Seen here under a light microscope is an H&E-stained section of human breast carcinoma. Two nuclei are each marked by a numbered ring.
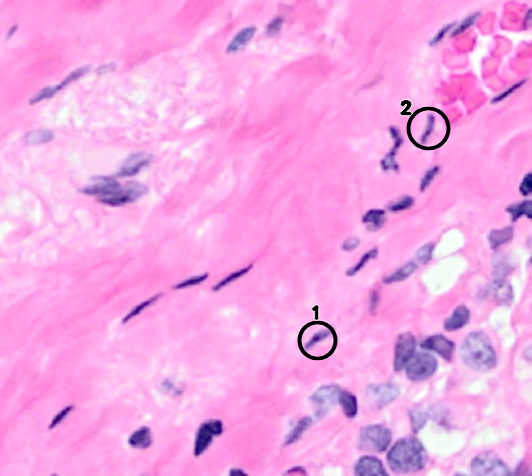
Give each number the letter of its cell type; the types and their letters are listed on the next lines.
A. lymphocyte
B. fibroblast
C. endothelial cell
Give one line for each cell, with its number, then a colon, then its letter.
1: B
2: C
